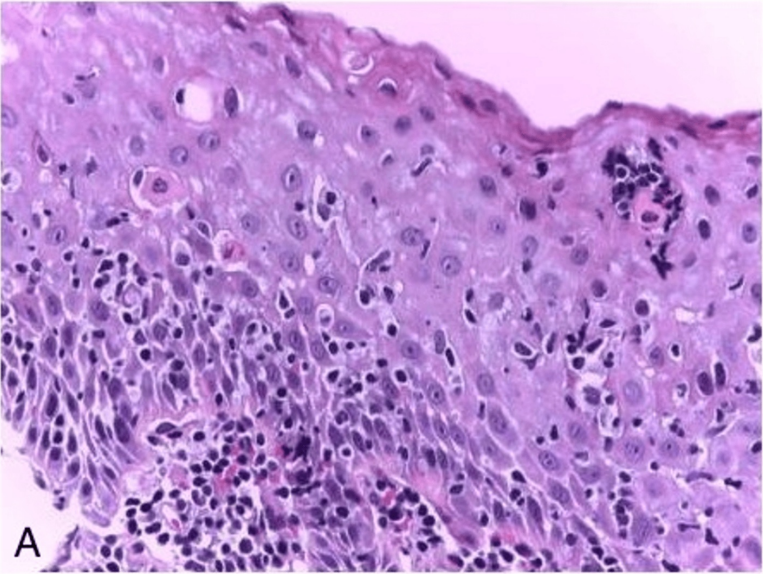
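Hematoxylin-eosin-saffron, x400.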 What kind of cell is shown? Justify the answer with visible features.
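Scattered rounded cells in the upper epithelium have dense bright pink cytoplasm. These rounded cells are set off from their neighbours by a clear halo. The surrounding epithelial cells are large and polygonal with round nuclei.
Answer: apoptotic keratinocytes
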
